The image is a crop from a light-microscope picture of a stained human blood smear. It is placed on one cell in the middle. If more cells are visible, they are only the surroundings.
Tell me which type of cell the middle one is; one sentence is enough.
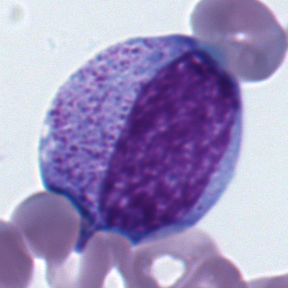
To answer, the cell in the center of the crop is a promyelocyte.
